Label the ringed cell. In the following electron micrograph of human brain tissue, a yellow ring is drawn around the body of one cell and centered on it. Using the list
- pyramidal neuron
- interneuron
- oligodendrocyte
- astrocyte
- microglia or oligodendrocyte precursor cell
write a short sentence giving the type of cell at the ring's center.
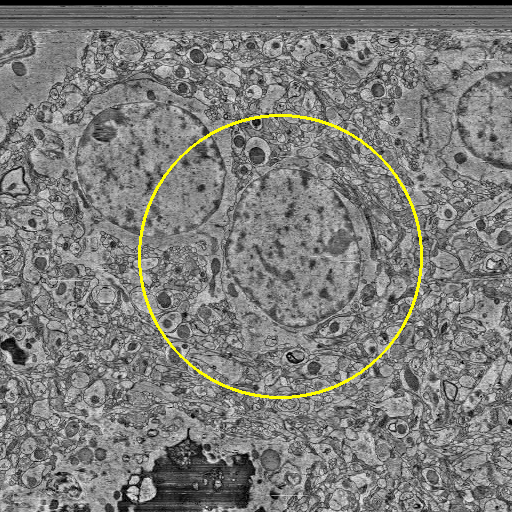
The cell body at the ring's center is that of an astrocyte.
